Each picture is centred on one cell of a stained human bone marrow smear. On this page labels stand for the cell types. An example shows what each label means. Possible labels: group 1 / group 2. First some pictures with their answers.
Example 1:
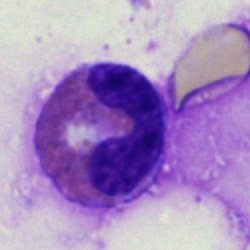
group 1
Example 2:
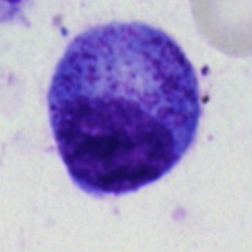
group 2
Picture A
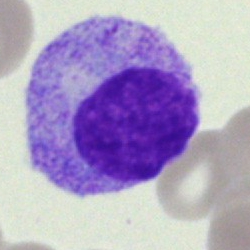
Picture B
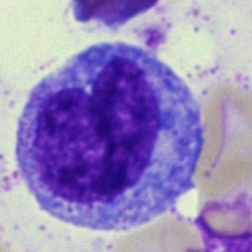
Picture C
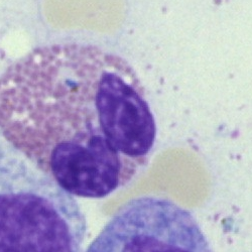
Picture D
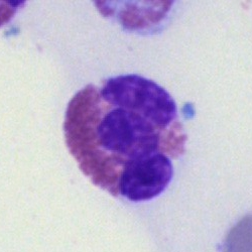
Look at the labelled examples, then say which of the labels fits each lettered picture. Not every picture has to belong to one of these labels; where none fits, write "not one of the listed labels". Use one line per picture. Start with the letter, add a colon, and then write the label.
A: not one of the listed labels
B: group 2
C: group 1
D: group 1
